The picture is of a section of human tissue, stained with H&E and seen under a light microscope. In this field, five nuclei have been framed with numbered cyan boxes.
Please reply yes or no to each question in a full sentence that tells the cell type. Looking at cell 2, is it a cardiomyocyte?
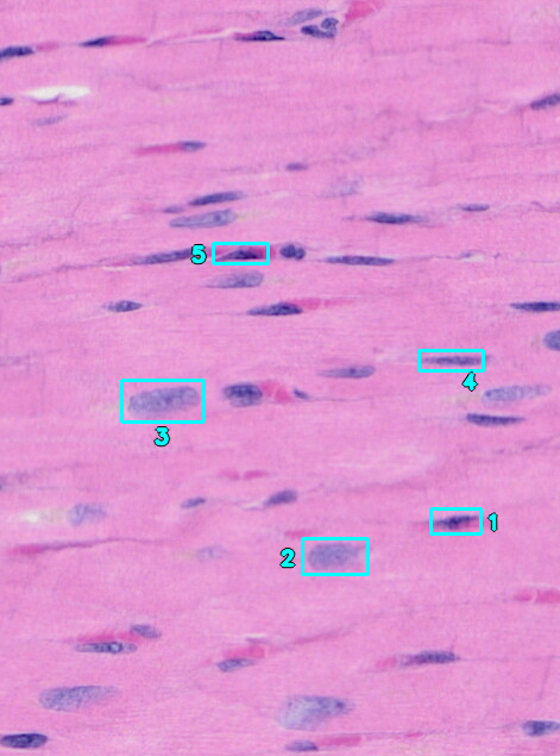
Yes, the cell whose nucleus carries number 2 is a cardiomyocyte.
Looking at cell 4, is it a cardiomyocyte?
No, with respect, cell 4 is a fibroblast rather than a cardiomyocyte.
